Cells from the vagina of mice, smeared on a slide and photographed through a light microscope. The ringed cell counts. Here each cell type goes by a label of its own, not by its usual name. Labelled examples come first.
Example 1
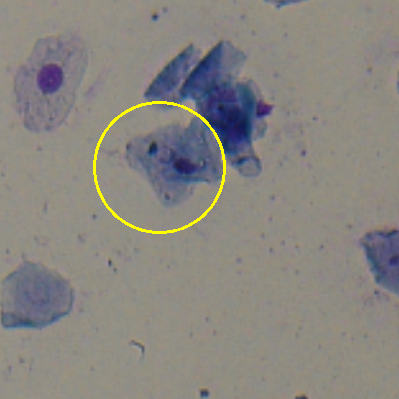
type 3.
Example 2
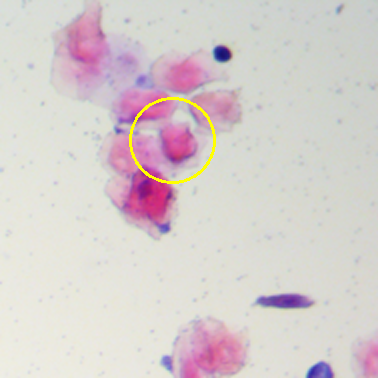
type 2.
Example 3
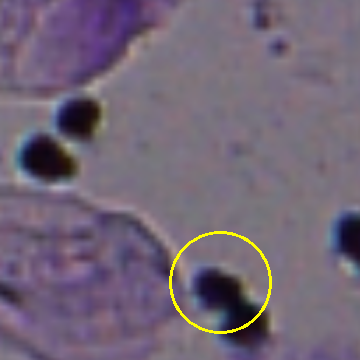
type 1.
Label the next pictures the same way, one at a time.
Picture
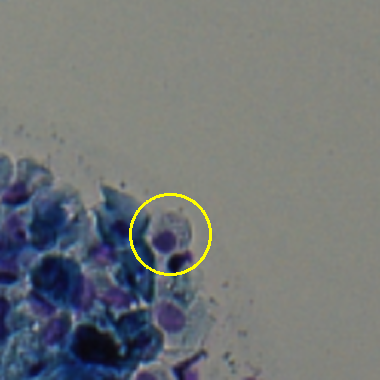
type 3.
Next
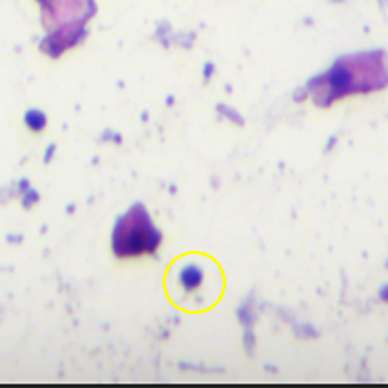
type 1.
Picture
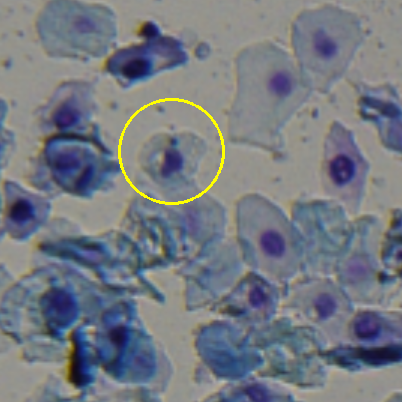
type 3.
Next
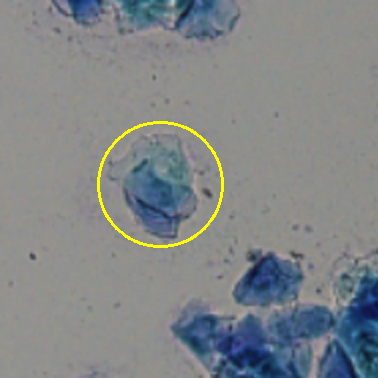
type 2.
